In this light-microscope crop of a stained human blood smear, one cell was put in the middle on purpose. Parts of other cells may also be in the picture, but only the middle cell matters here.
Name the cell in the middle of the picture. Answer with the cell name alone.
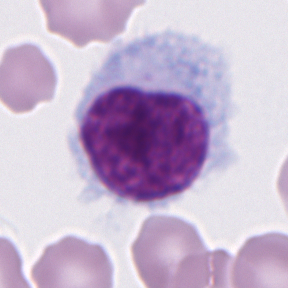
hairy cell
